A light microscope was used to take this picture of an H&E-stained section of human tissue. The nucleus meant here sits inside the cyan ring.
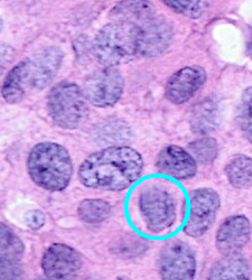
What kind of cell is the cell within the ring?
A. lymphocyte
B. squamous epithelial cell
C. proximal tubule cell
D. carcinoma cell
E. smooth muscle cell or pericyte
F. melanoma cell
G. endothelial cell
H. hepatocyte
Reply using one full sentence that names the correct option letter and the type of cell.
Settle on option D; the cell within the ring is a carcinoma cell.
